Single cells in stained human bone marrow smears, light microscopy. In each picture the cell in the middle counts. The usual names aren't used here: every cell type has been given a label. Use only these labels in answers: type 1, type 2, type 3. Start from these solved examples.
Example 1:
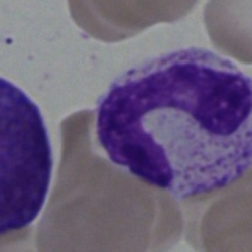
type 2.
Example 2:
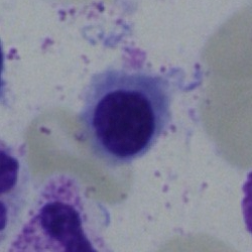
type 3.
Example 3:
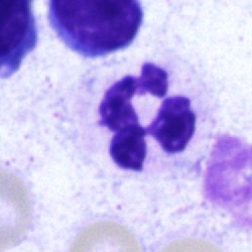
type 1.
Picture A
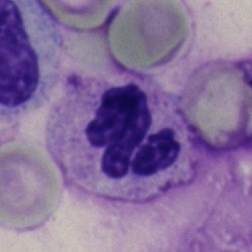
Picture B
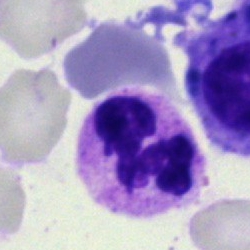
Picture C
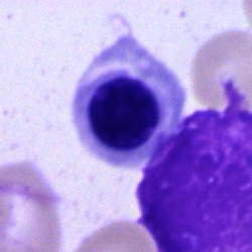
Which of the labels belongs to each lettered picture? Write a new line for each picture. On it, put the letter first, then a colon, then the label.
A: type 1.
B: type 1.
C: type 3.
